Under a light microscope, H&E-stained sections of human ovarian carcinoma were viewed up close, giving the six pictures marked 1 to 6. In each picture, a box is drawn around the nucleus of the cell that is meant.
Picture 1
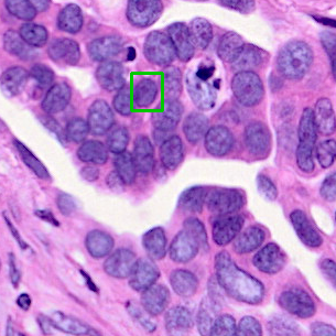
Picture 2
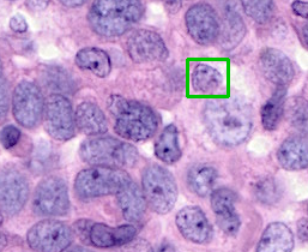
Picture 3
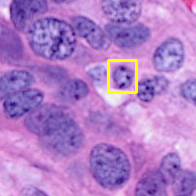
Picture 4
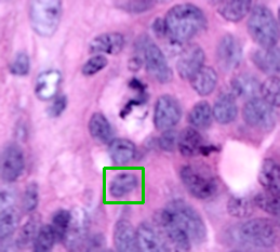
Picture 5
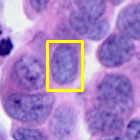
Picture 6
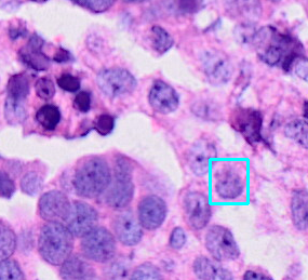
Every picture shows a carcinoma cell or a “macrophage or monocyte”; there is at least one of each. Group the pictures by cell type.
1: carcinoma cell
2: macrophage or monocyte
3: macrophage or monocyte
4: macrophage or monocyte
5: carcinoma cell
6: macrophage or monocyte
